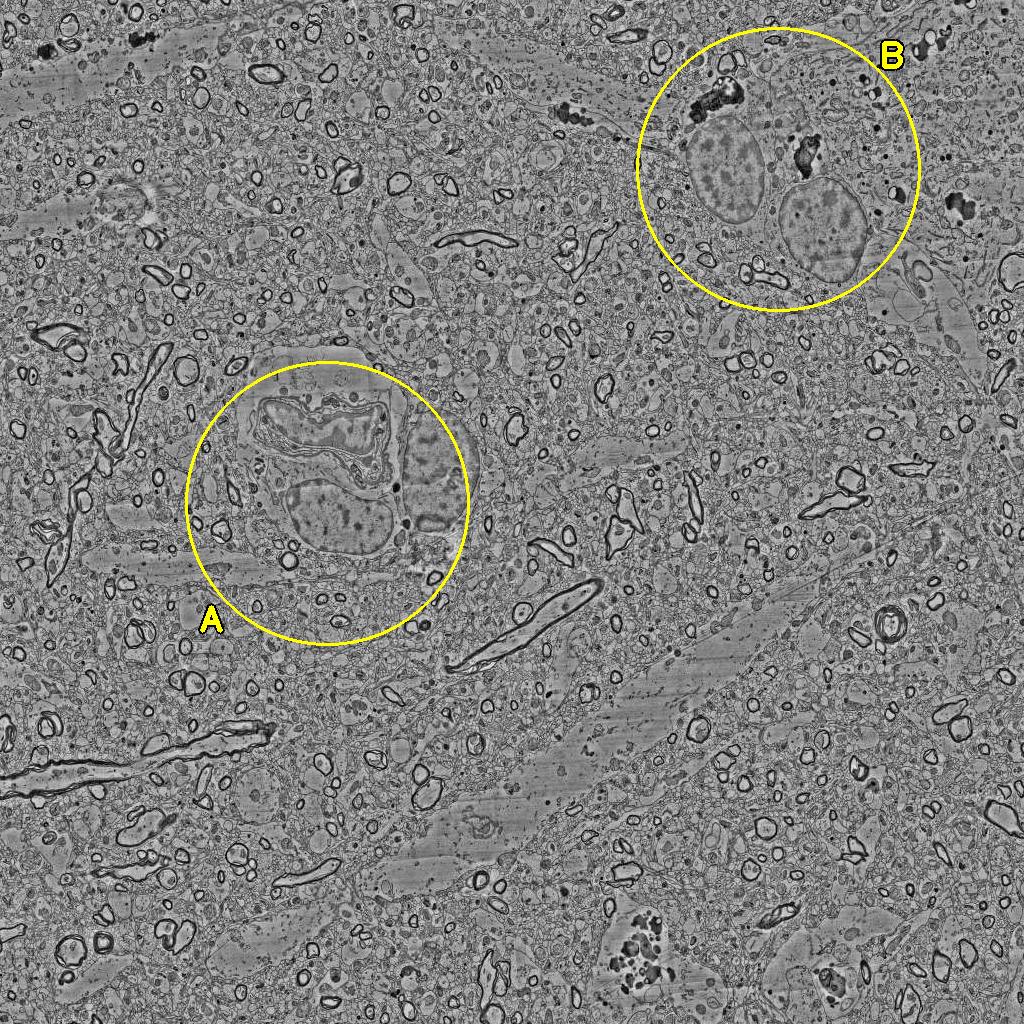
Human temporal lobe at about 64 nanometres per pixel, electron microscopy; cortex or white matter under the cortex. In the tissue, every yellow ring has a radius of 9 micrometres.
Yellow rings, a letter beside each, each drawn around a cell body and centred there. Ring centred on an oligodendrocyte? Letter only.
B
